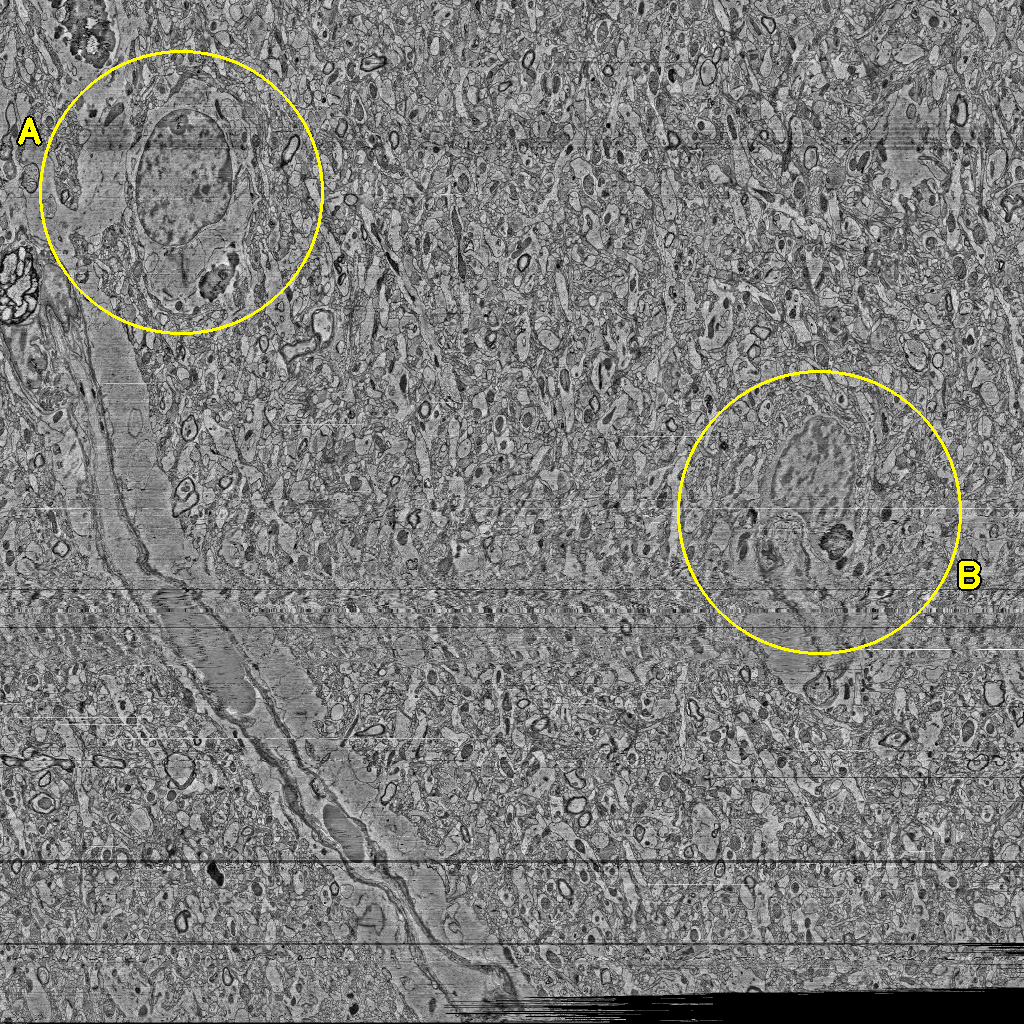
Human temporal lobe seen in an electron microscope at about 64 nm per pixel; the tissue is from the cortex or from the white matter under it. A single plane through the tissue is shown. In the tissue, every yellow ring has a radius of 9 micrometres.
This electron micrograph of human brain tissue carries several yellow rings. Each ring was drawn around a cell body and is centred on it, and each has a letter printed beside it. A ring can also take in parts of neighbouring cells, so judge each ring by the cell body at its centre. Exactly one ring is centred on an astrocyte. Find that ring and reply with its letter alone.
A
